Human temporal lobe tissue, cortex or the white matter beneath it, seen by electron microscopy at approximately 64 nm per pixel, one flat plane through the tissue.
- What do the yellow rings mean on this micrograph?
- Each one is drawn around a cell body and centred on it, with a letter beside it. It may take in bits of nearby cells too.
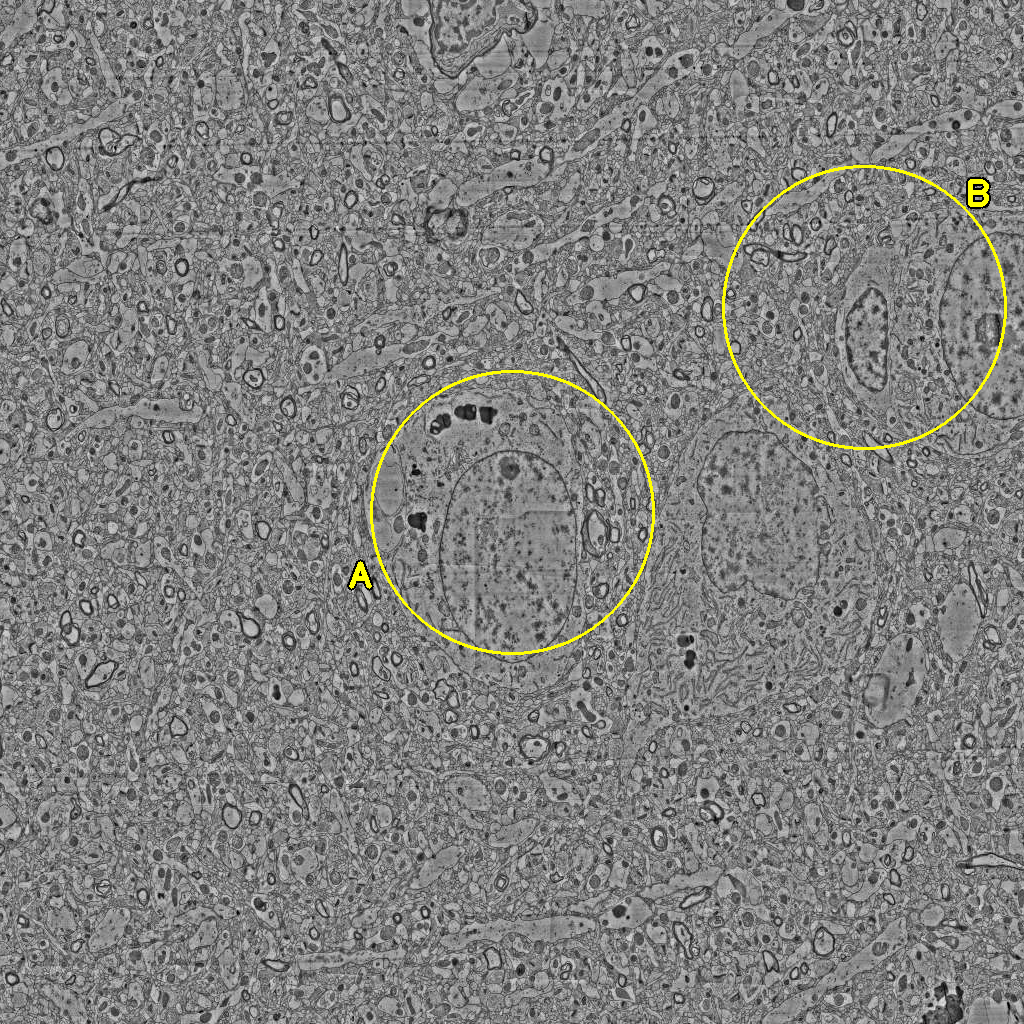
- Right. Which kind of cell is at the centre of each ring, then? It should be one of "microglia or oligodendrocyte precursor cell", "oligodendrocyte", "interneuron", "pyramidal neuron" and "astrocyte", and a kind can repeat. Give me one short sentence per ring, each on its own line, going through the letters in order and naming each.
Ring A circles the cell body of a pyramidal neuron.
Ring B circles the cell body of a microglial cell or oligodendrocyte precursor cell.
